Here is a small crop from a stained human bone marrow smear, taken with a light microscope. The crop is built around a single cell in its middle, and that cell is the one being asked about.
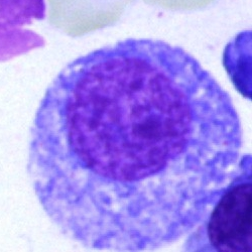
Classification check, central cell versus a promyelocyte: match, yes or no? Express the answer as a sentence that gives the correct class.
Yes, the cell sitting in the middle of this smear crop is a promyelocyte.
